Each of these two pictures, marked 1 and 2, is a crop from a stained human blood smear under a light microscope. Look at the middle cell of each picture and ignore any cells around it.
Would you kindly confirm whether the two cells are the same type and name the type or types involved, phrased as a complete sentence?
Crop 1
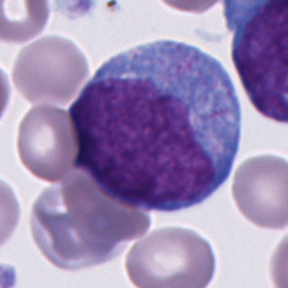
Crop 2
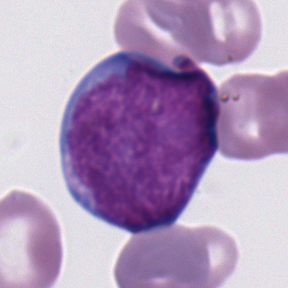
No, crop 1 features a promyelocyte, and crop 2 features a blast.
